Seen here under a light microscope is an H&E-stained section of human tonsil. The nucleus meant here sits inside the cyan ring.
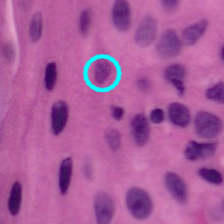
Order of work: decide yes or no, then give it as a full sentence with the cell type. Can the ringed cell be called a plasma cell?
No, the ringed cell is not a plasma cell, being instead a squamous epithelial cell.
